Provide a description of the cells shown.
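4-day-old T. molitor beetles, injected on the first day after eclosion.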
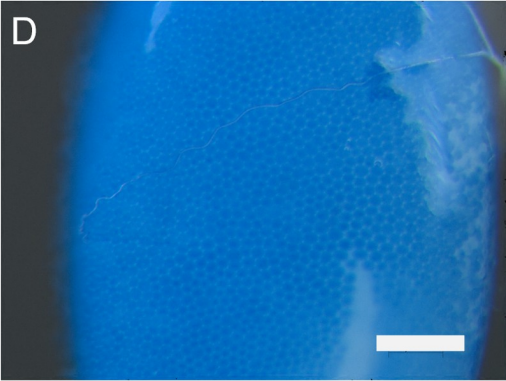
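This is the surface of an oval ovarian follicle covered by its follicular epithelium. The epithelium is a continuous sheet of small, uniform polygonal cells packed tightly in a honeycomb pattern. The cells are pale blue with slightly darker centres and fine pale boundaries.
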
